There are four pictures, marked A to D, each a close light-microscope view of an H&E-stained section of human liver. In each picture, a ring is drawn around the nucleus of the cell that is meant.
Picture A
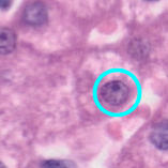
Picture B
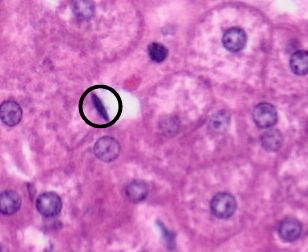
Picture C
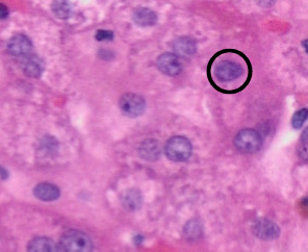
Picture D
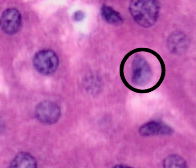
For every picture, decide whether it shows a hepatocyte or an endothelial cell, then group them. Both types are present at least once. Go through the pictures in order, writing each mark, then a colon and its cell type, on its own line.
A: hepatocyte
B: endothelial cell
C: hepatocyte
D: endothelial cell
